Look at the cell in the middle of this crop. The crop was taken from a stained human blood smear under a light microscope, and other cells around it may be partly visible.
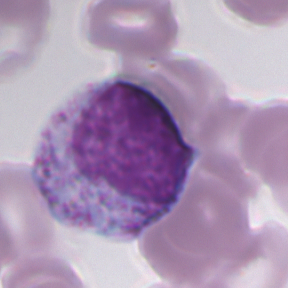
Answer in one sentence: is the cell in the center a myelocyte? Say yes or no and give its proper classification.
Yes, the centered cell in this field is a myelocyte.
